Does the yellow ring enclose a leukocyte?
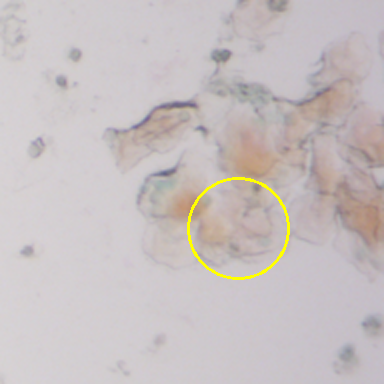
No. The ring encloses a cornified epithelial cell.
